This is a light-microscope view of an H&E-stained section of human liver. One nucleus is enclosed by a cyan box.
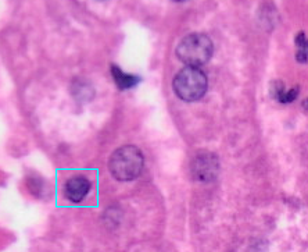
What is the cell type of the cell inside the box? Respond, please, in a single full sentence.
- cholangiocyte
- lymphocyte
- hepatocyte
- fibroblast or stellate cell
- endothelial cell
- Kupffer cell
In this field of tissue, the cell inside the box is a fibroblast or stellate cell.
